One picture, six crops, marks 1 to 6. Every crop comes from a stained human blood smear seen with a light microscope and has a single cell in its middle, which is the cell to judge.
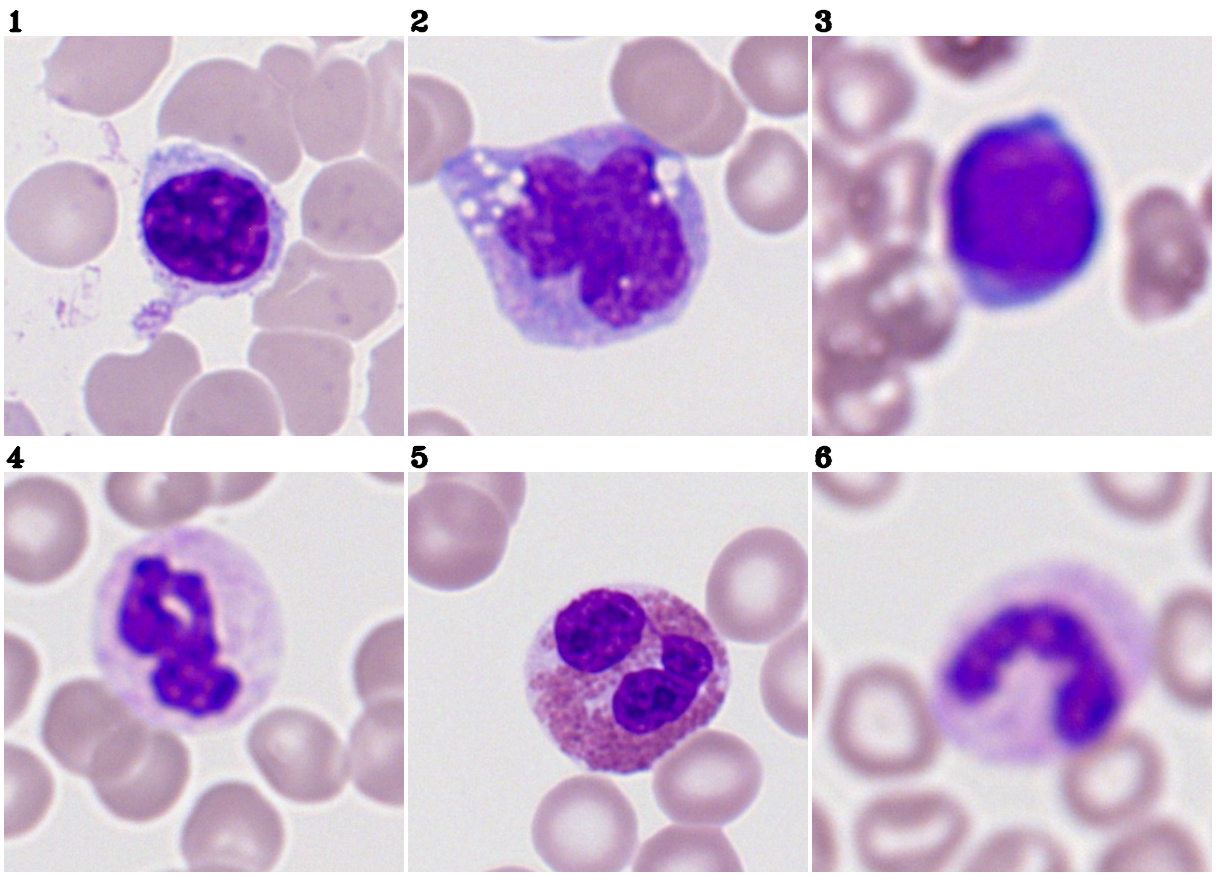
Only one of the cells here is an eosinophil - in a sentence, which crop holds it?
The crop that has an eosinophil in the middle is crop 5.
